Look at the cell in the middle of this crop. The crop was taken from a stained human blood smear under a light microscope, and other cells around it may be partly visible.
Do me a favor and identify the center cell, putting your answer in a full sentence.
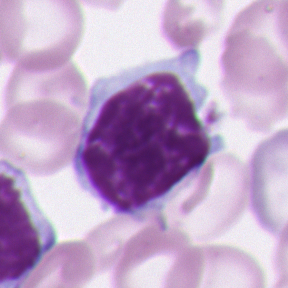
The central element of this crop is a cell, namely a typical lymphocyte.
